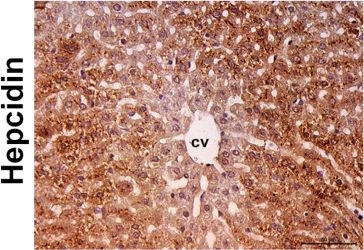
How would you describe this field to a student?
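Liver parenchyma in which hepatocytes are arranged in cords radiating toward a central vein, separated by narrow sinusoids. The hepatocyte cytoplasm is filled with dense, granular brown stain, while the round nuclei stand out in blue.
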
